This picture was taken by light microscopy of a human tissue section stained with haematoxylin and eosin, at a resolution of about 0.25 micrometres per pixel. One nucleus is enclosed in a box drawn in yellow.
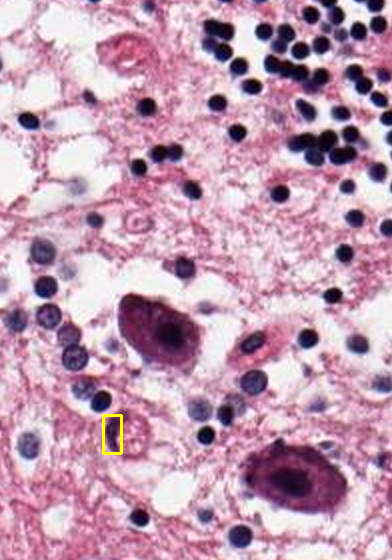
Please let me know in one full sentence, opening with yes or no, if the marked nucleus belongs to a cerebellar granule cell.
No, not a cerebellar granule cell but a supporting cell is the owner of the marked nucleus.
